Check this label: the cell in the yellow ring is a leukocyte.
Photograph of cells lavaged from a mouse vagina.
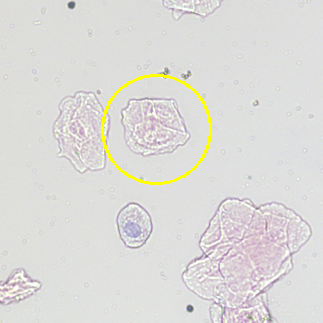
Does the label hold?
The label does not hold; the cell is a cornified epithelial cell.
